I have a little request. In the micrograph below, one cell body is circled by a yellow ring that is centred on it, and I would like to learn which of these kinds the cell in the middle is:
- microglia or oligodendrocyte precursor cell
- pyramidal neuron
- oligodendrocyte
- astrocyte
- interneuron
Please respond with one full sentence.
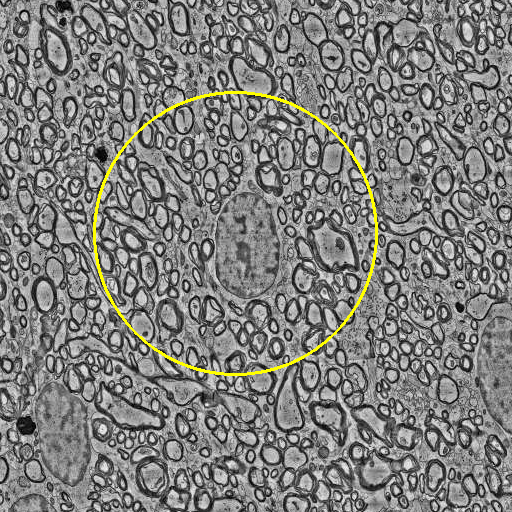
The cell sitting in the middle of the yellow ring in the micrograph is a microglial cell or oligodendrocyte precursor cell.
